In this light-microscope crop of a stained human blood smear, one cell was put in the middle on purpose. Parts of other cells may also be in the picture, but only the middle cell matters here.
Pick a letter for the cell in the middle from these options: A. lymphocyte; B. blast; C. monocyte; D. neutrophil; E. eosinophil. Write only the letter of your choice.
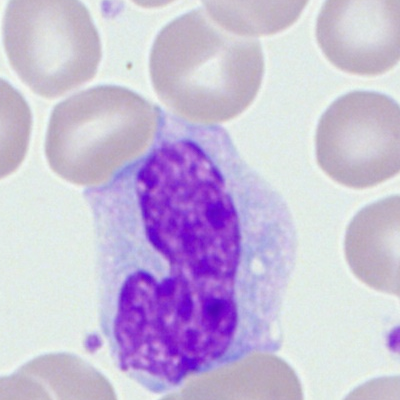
C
